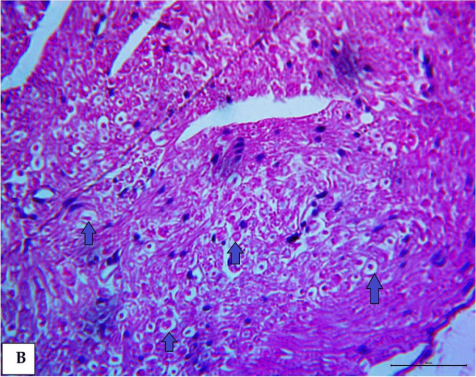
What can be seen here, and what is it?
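This nerve tissue is pale pink and purple, and the fibers have lost their parallel wavy course, lying in a disordered mesh with pale spaces between them. Many small round clear holes with thin pink rims are scattered throughout, some pointed out by arrows. Dark nuclei are scattered irregularly, and the tissue looks loosened as if swollen with fluid. Together this reads as irregular arrangement of nerve fibers with wide spacing, interstitial edema and vacuolization.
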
